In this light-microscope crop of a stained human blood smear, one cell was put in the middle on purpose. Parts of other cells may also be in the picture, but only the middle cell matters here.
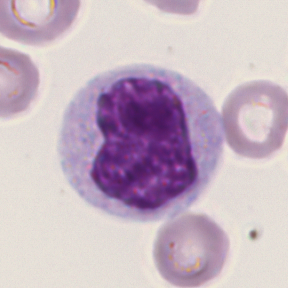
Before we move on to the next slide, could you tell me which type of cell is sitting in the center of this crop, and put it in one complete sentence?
The central cell in this smear crop is a metamyelocyte.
